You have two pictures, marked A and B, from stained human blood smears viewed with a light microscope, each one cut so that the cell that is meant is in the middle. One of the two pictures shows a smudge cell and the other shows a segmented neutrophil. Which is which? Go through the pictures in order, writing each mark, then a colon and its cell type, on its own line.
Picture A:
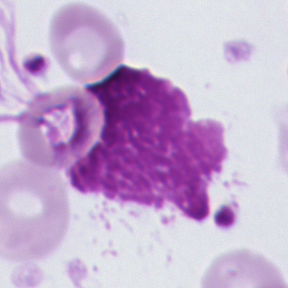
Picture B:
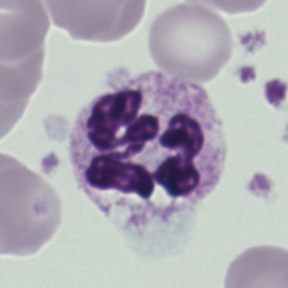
A: smudge cell
B: segmented neutrophil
